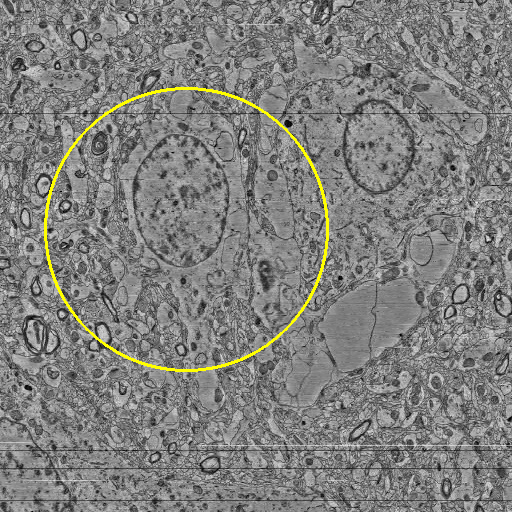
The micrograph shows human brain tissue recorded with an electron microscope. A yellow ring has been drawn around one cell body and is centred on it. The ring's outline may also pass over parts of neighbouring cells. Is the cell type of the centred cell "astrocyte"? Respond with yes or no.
yes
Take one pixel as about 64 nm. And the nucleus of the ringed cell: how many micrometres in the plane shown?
The nucleus measures about 9 by 6 micrometres in this plane.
